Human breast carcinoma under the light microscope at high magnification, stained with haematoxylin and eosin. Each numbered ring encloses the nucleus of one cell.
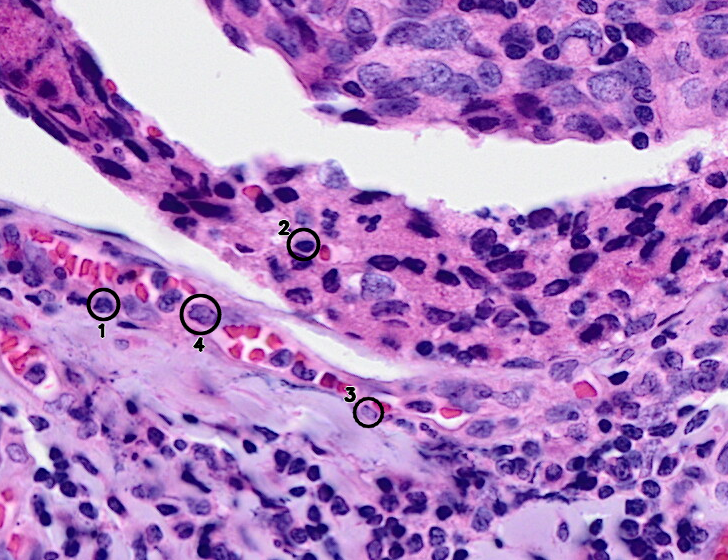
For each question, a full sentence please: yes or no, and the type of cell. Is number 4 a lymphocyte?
No, the cell given the number 4 is an endothelial cell, so not a lymphocyte.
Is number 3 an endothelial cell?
Yes, the numbered nucleus 3 is that of an endothelial cell.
